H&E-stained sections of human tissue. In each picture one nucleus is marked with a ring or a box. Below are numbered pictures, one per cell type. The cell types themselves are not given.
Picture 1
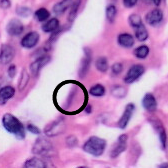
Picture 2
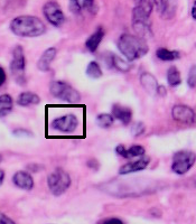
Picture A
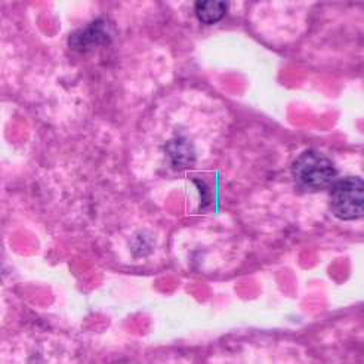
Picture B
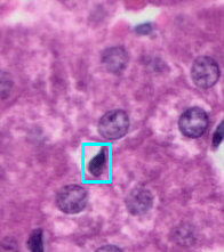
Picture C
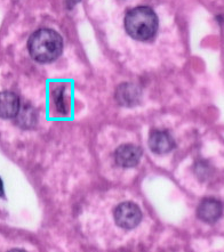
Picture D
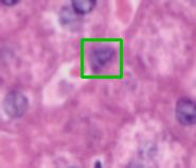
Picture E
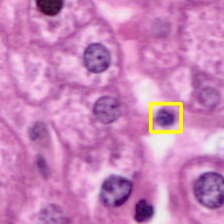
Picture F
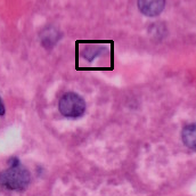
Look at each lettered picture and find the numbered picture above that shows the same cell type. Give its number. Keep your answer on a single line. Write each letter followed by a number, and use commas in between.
A 1, B 1, C 1, D 1, E 2, F 1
